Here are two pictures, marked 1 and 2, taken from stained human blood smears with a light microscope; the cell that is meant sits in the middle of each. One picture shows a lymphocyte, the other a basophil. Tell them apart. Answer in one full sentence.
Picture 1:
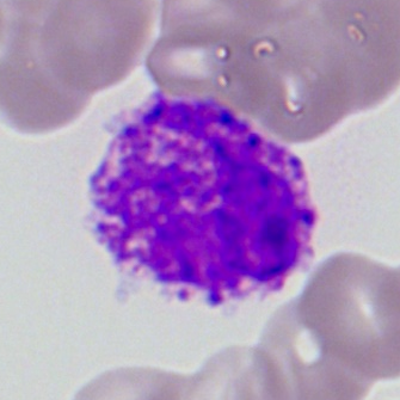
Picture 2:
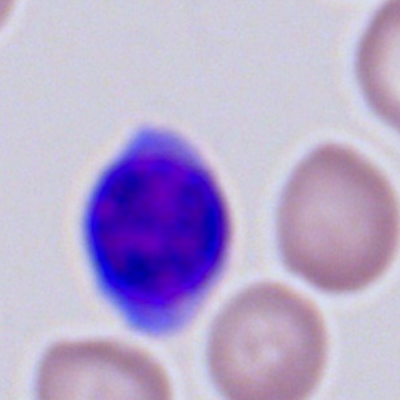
Picture 1 is of a basophil, and picture 2 is of a lymphocyte.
